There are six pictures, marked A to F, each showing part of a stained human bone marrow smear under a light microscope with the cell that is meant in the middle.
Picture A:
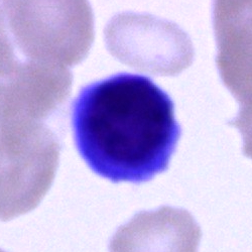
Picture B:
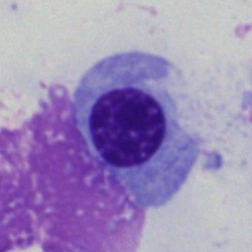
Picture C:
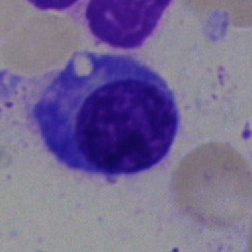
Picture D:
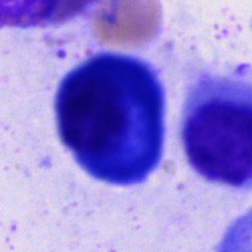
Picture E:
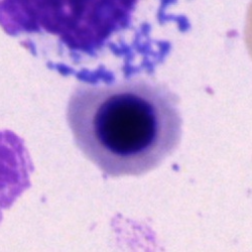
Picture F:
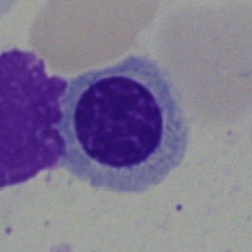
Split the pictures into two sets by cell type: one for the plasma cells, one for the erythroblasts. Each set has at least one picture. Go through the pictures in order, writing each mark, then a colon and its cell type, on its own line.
A: erythroblast
B: erythroblast
C: plasma cell
D: plasma cell
E: erythroblast
F: erythroblast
